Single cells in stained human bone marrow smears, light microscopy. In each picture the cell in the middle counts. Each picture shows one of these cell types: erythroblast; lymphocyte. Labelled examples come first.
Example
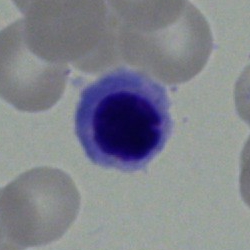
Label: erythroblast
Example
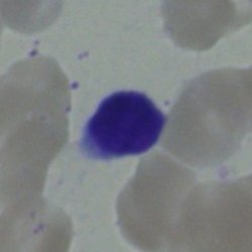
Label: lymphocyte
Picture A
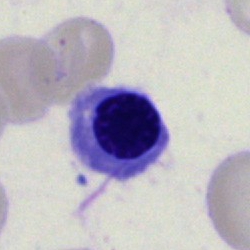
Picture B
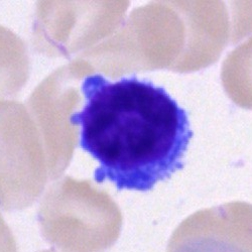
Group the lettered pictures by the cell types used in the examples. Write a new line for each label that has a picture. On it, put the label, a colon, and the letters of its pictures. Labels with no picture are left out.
erythroblast: A
lymphocyte: B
